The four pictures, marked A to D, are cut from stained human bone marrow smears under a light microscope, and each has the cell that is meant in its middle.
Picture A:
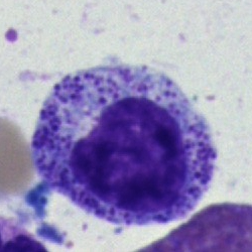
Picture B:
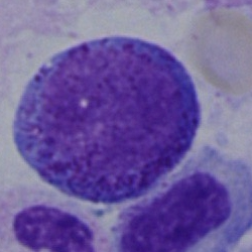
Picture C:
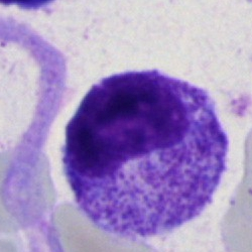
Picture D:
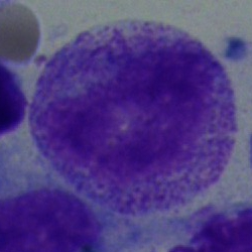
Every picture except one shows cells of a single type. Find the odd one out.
B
